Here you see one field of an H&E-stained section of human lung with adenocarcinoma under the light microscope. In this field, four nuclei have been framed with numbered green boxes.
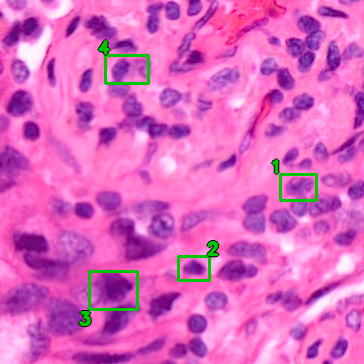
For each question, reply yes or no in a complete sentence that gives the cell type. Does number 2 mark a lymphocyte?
Yes, that is correct: the cell numbered 2 is a lymphocyte.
